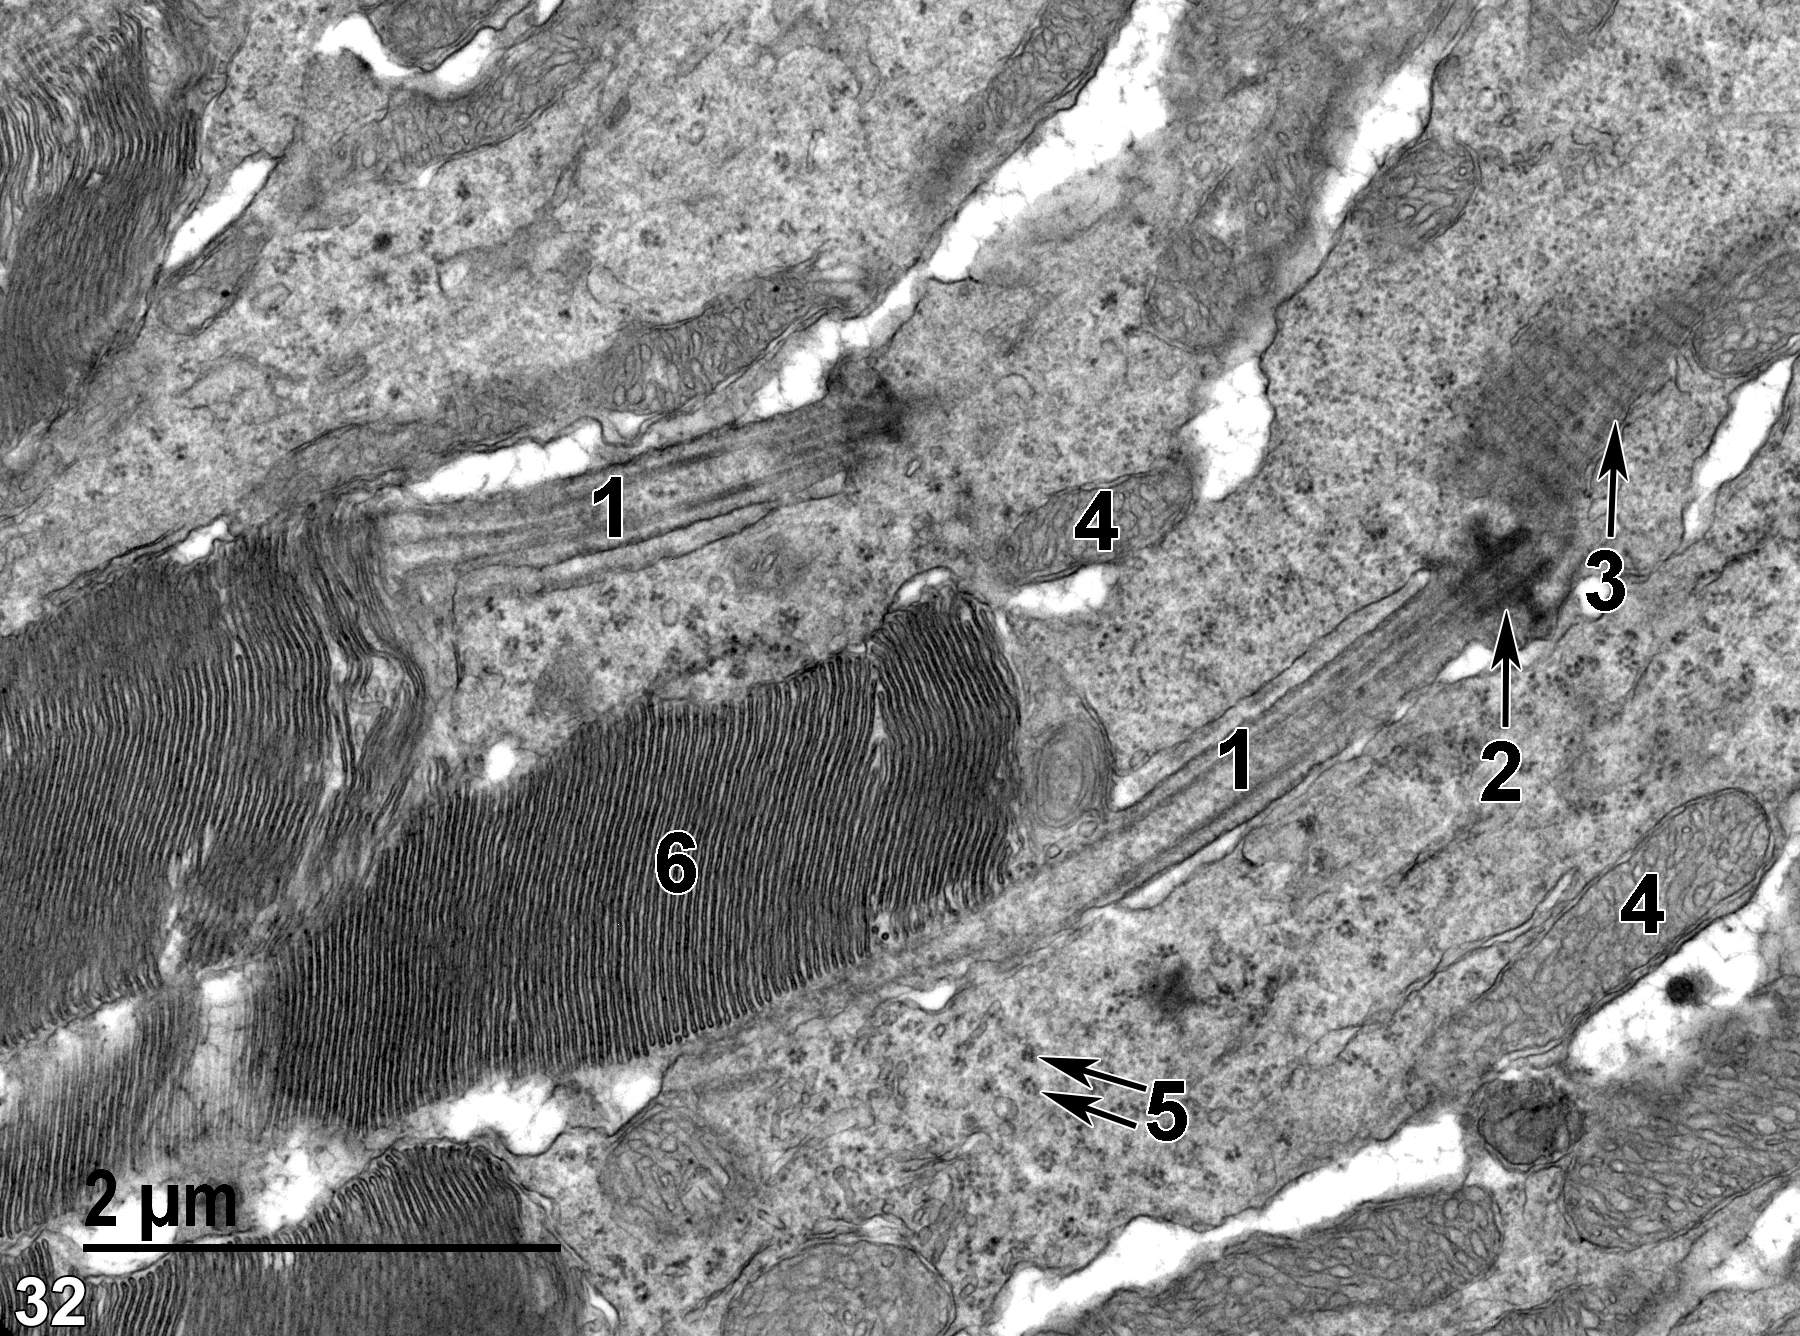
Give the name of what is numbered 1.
The number 1 marks the modified cilium.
